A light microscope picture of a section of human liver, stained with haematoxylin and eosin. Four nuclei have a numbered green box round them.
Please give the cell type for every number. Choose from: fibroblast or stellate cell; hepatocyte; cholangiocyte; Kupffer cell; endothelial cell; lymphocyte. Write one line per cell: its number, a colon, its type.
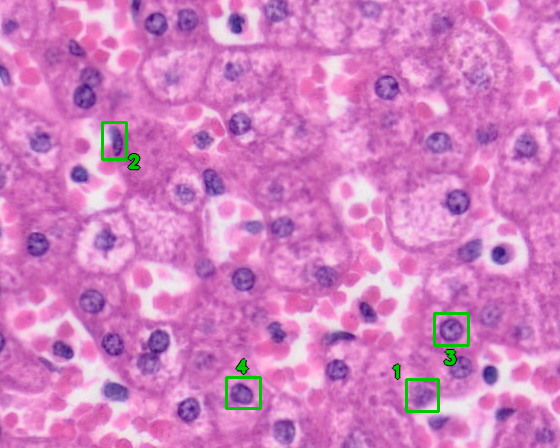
1: hepatocyte
2: fibroblast or stellate cell
3: hepatocyte
4: hepatocyte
